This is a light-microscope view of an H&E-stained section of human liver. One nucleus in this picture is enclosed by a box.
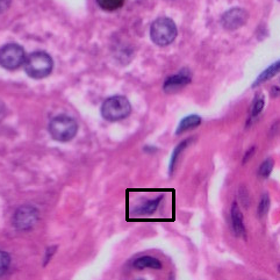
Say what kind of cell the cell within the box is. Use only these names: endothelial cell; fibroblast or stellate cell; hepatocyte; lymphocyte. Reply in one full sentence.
The cell within the box appears to be a fibroblast or stellate cell.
